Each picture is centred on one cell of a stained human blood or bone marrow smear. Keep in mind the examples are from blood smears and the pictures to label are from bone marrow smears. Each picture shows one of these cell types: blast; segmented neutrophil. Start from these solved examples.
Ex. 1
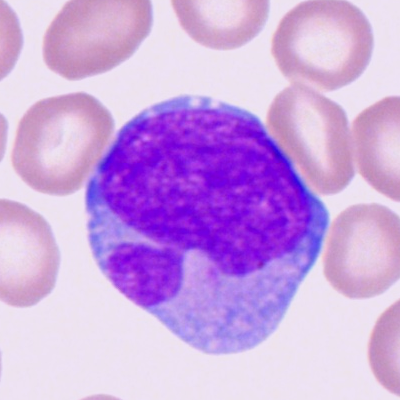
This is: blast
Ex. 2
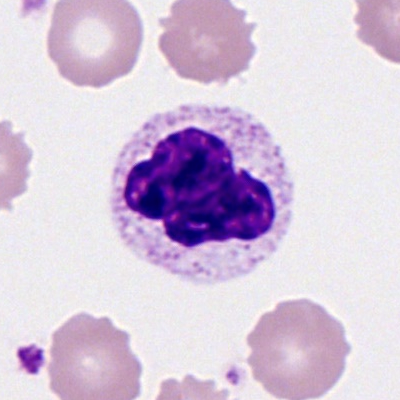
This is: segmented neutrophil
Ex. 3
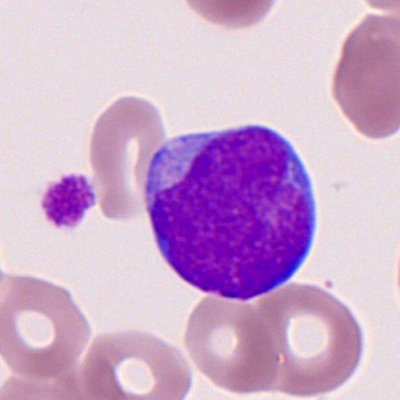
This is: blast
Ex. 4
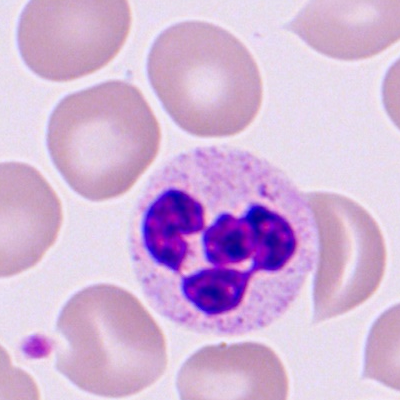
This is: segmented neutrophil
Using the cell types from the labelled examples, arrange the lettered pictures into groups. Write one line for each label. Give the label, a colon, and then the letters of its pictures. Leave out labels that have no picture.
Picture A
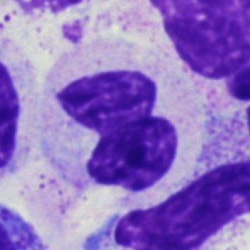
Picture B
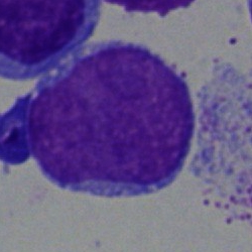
blast: B
segmented neutrophil: A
